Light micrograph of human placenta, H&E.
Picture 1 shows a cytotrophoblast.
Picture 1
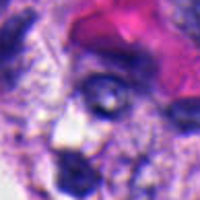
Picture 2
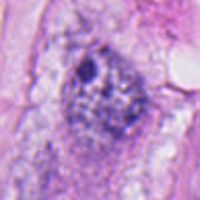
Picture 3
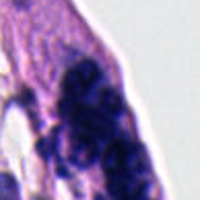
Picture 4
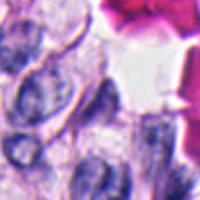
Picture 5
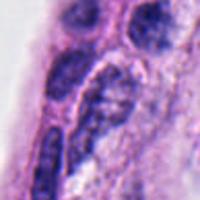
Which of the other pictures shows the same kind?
Picture 5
